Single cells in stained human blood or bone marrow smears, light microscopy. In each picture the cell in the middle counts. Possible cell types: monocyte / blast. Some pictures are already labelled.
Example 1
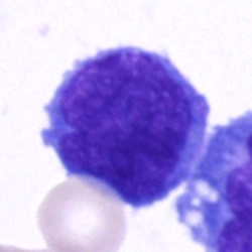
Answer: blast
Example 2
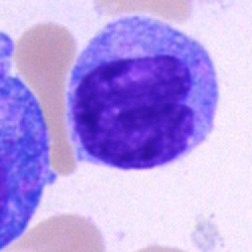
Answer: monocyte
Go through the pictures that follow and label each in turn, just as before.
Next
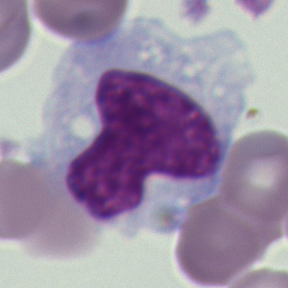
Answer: monocyte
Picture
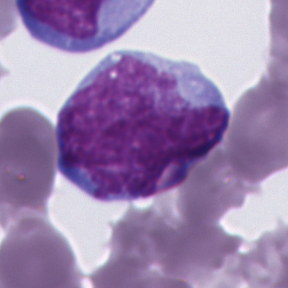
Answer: blast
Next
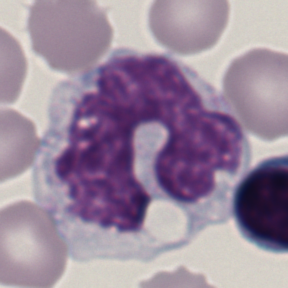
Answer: monocyte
